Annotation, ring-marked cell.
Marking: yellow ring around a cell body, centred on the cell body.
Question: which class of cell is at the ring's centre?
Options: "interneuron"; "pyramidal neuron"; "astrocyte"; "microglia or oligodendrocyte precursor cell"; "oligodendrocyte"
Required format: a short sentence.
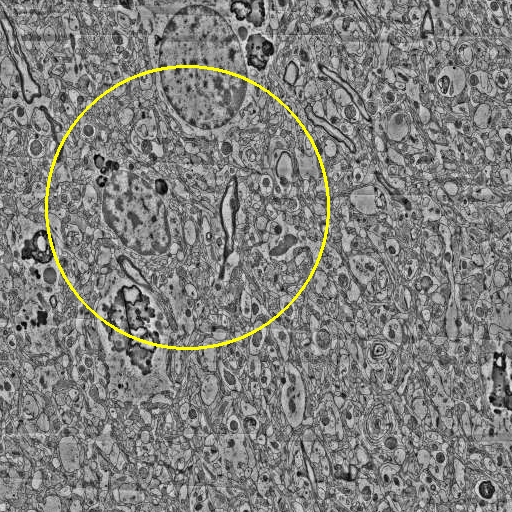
At the ring's centre is a microglial cell or oligodendrocyte precursor cell.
